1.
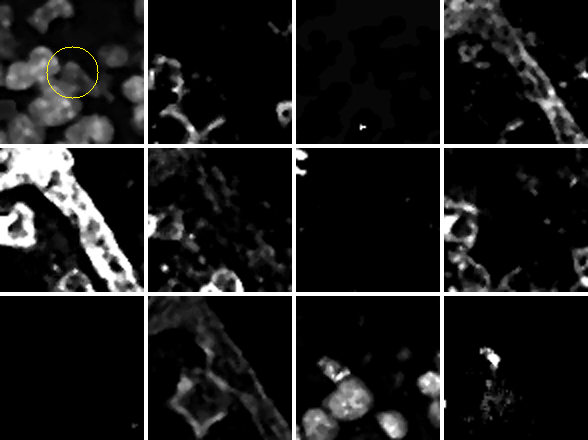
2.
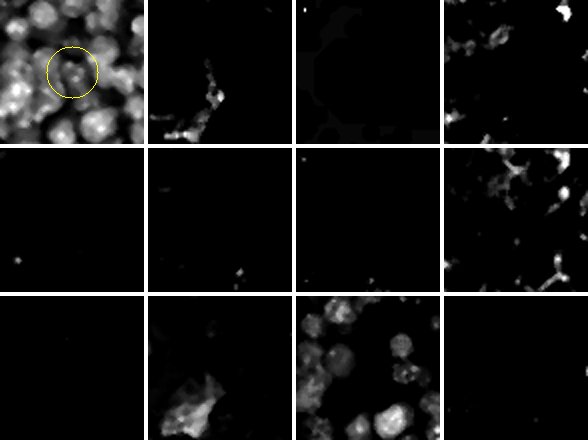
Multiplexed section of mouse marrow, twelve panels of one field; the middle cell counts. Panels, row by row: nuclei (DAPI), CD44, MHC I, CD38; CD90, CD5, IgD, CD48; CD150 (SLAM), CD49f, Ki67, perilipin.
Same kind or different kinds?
Different: the first is a capillary endothelial cell, the second a neutrophil.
